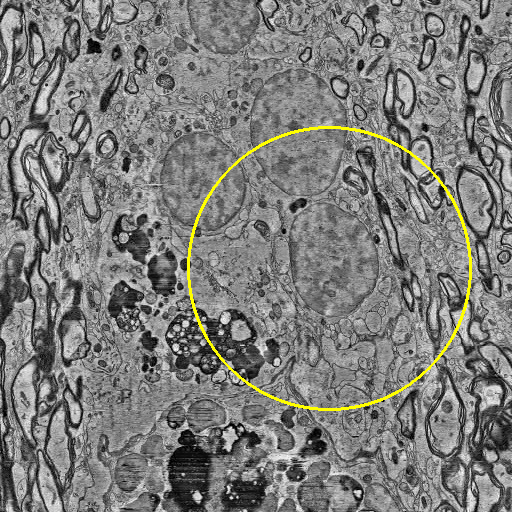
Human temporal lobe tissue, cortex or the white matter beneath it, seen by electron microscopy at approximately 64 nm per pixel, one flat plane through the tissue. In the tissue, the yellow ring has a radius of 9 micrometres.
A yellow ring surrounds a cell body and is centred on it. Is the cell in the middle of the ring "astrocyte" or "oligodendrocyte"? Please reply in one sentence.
The ring is centred on an oligodendrocyte.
